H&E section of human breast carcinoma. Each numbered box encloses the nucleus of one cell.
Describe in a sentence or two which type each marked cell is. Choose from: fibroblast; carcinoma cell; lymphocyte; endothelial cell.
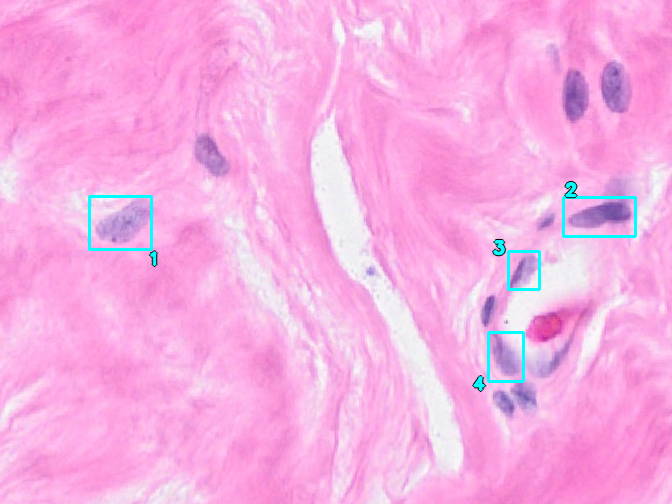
Cell 1 is a fibroblast, cell 2 is an endothelial cell, cell 3 is an endothelial cell and cell 4 is an endothelial cell.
